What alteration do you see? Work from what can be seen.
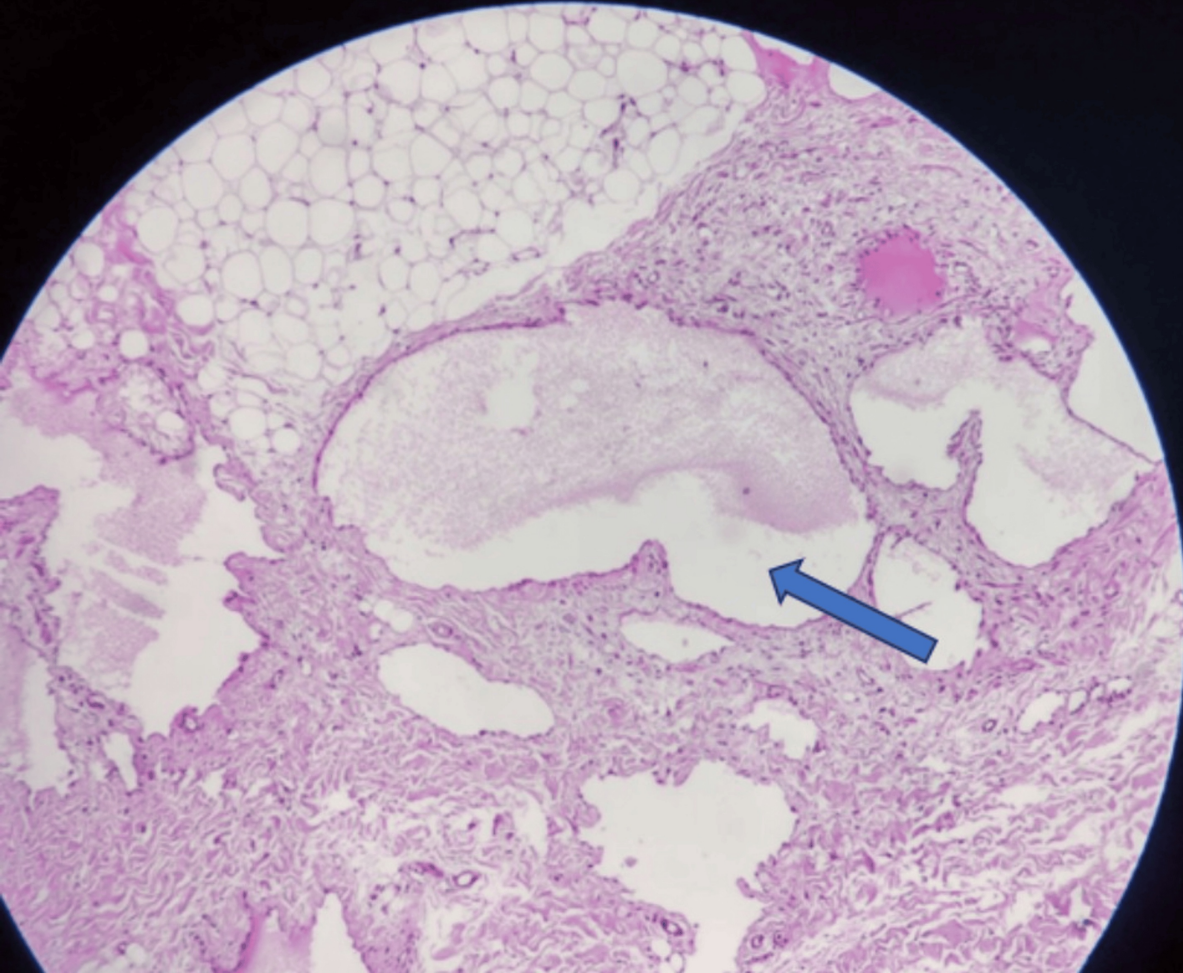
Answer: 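The largest open spaces are partly filled with pale pink, finely granular material.
Hence: eosinophilic proteinaceous fluid.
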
